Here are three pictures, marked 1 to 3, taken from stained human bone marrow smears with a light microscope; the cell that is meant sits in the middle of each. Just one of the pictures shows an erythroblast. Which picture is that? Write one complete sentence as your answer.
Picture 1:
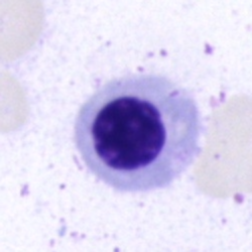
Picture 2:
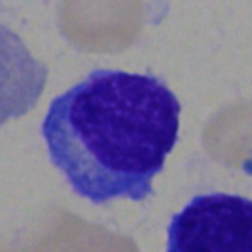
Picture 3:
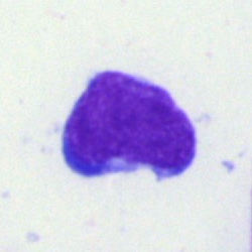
The cell in picture 1 is the erythroblast.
